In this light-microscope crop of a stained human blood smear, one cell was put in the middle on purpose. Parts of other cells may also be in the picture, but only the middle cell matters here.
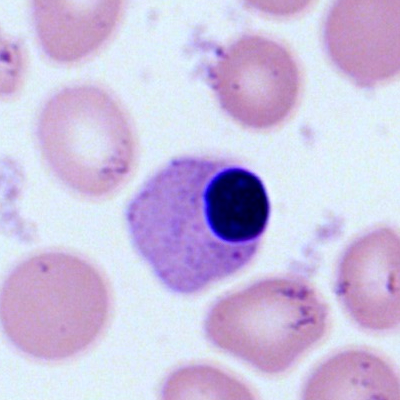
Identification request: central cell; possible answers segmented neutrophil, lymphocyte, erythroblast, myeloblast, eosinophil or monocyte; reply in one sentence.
The cell at the heart of this crop is an erythroblast.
